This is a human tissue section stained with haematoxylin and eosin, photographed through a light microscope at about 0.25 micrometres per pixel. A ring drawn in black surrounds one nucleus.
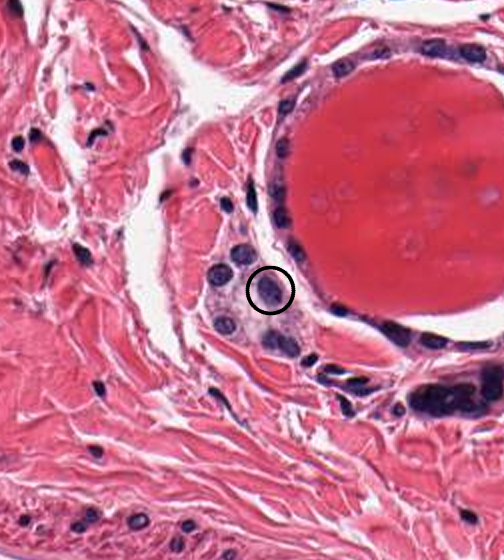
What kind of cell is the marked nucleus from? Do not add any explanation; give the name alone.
thyroid follicular cell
